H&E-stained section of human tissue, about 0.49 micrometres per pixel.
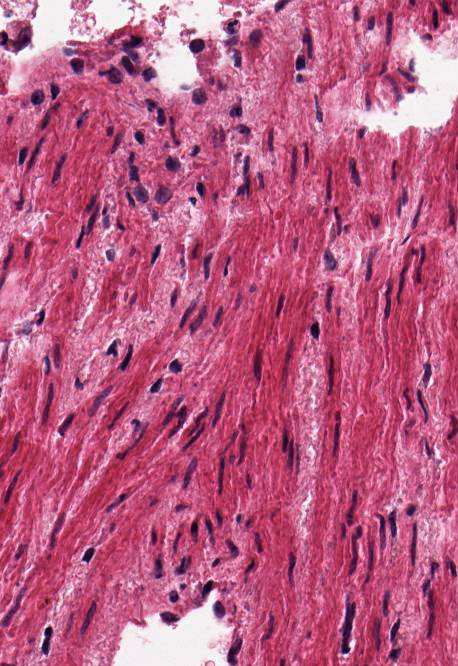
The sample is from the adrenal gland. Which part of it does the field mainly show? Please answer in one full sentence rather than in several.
This histology image has as its subject the part called smooth muscle.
